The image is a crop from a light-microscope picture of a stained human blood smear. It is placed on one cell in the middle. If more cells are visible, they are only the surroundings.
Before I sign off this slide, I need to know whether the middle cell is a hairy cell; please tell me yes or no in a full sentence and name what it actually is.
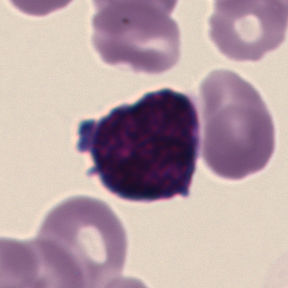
No, this cell in the middle is a myeloblast, so it is not a hairy cell.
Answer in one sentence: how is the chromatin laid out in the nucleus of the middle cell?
Take a look at the chromatin, which is coarsely clumped.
